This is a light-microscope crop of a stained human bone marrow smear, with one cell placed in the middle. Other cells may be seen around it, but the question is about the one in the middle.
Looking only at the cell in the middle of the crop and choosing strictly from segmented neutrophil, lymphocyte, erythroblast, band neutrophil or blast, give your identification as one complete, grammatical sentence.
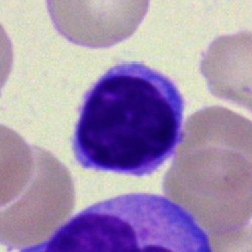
The central cell, amid any neighbouring cells, is a lymphocyte.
